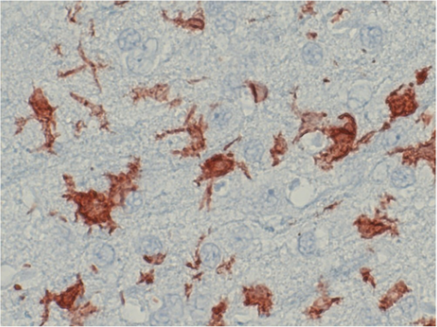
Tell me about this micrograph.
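The stained cells have enlarged, irregular bodies from which several short, thick, branching processes radiate, giving them a star-like outline. They are scattered fairly evenly, each separate from its neighbours, among unstained cells with round pale blue nuclei. Some small clear spaces appear in the surrounding tissue.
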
